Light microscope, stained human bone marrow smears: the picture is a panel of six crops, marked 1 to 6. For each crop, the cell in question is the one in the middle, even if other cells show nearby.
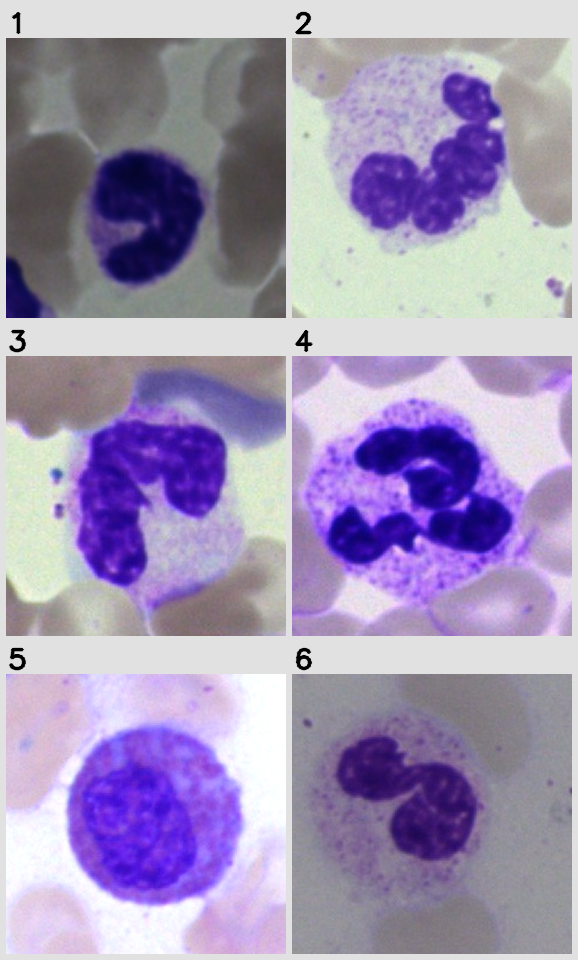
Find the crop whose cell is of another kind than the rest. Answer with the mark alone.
5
